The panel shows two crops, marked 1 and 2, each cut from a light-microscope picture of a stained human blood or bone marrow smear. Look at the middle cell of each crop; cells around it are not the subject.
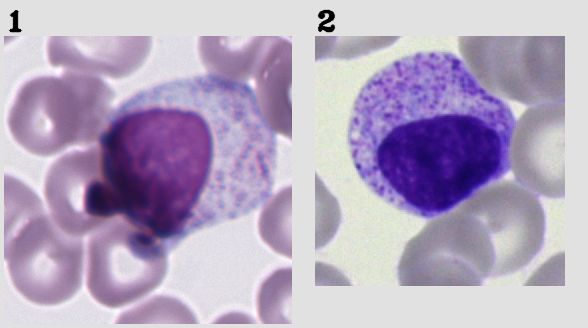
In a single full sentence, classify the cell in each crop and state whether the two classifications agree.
Yes, both crops show myelocytes in their central position.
